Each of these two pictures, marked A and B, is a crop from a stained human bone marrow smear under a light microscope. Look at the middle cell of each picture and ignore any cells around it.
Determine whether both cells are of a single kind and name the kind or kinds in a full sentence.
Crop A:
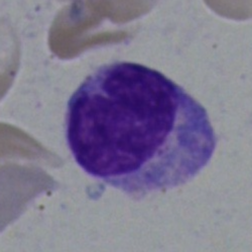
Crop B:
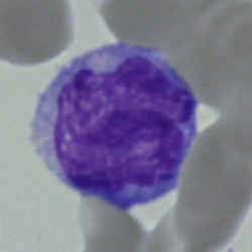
Yes, in both crops the centred cells are monocytes.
